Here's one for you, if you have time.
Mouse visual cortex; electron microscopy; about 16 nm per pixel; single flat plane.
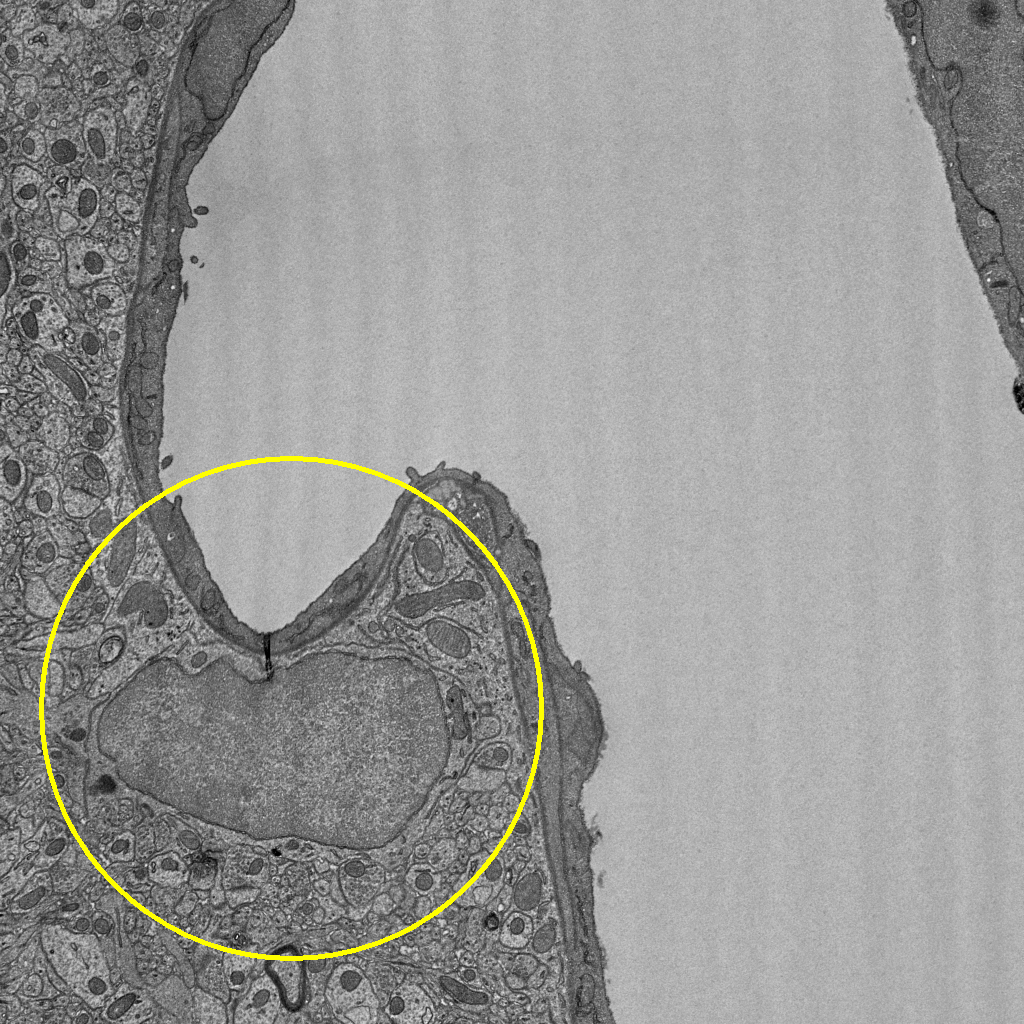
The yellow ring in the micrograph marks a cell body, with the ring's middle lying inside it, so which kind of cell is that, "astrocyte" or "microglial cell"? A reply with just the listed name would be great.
microglial cell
